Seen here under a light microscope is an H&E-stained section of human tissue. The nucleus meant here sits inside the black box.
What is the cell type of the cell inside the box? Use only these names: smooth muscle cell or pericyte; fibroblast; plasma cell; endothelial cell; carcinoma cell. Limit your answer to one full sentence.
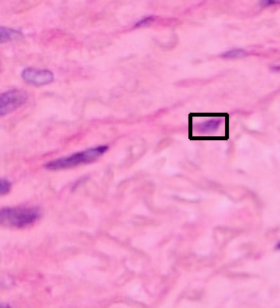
In the context of this tissue, the cell inside the box is a smooth muscle cell or pericyte.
